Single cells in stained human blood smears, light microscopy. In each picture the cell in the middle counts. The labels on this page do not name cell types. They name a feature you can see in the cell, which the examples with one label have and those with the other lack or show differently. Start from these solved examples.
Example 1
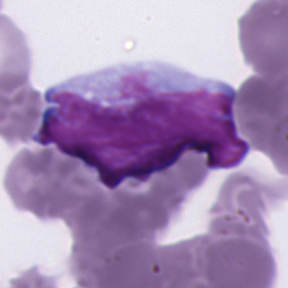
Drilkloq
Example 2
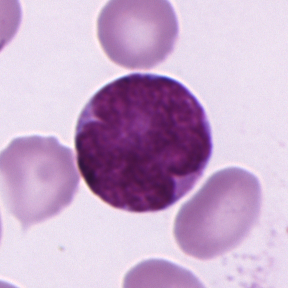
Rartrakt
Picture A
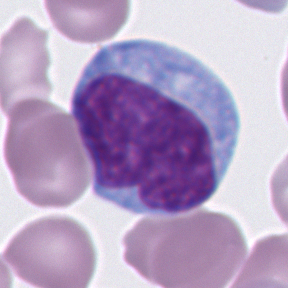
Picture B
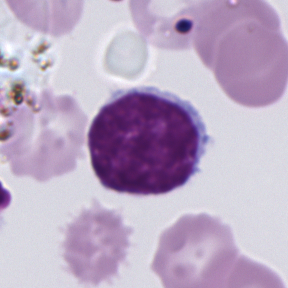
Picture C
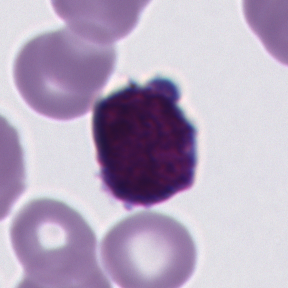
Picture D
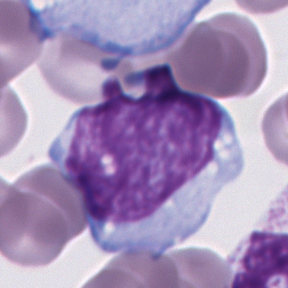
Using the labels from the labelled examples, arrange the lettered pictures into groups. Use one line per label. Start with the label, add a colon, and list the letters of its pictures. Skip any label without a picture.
Drilkloq: B, C, D
Rartrakt: A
